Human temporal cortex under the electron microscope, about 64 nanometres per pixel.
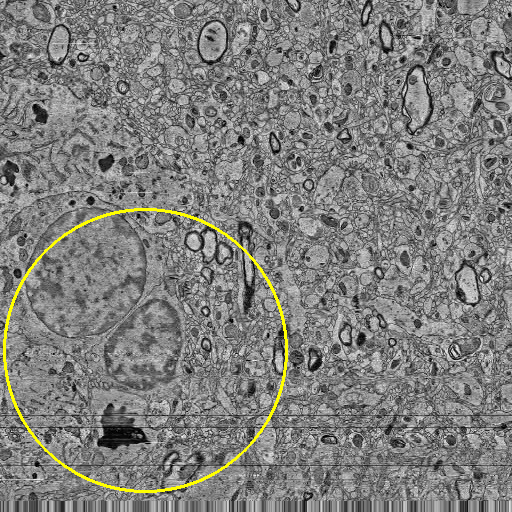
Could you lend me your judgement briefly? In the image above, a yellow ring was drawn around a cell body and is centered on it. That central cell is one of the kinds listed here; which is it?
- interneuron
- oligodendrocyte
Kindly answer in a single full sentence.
Going by the list, an oligodendrocyte is the kind at the ring's center in the picture.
